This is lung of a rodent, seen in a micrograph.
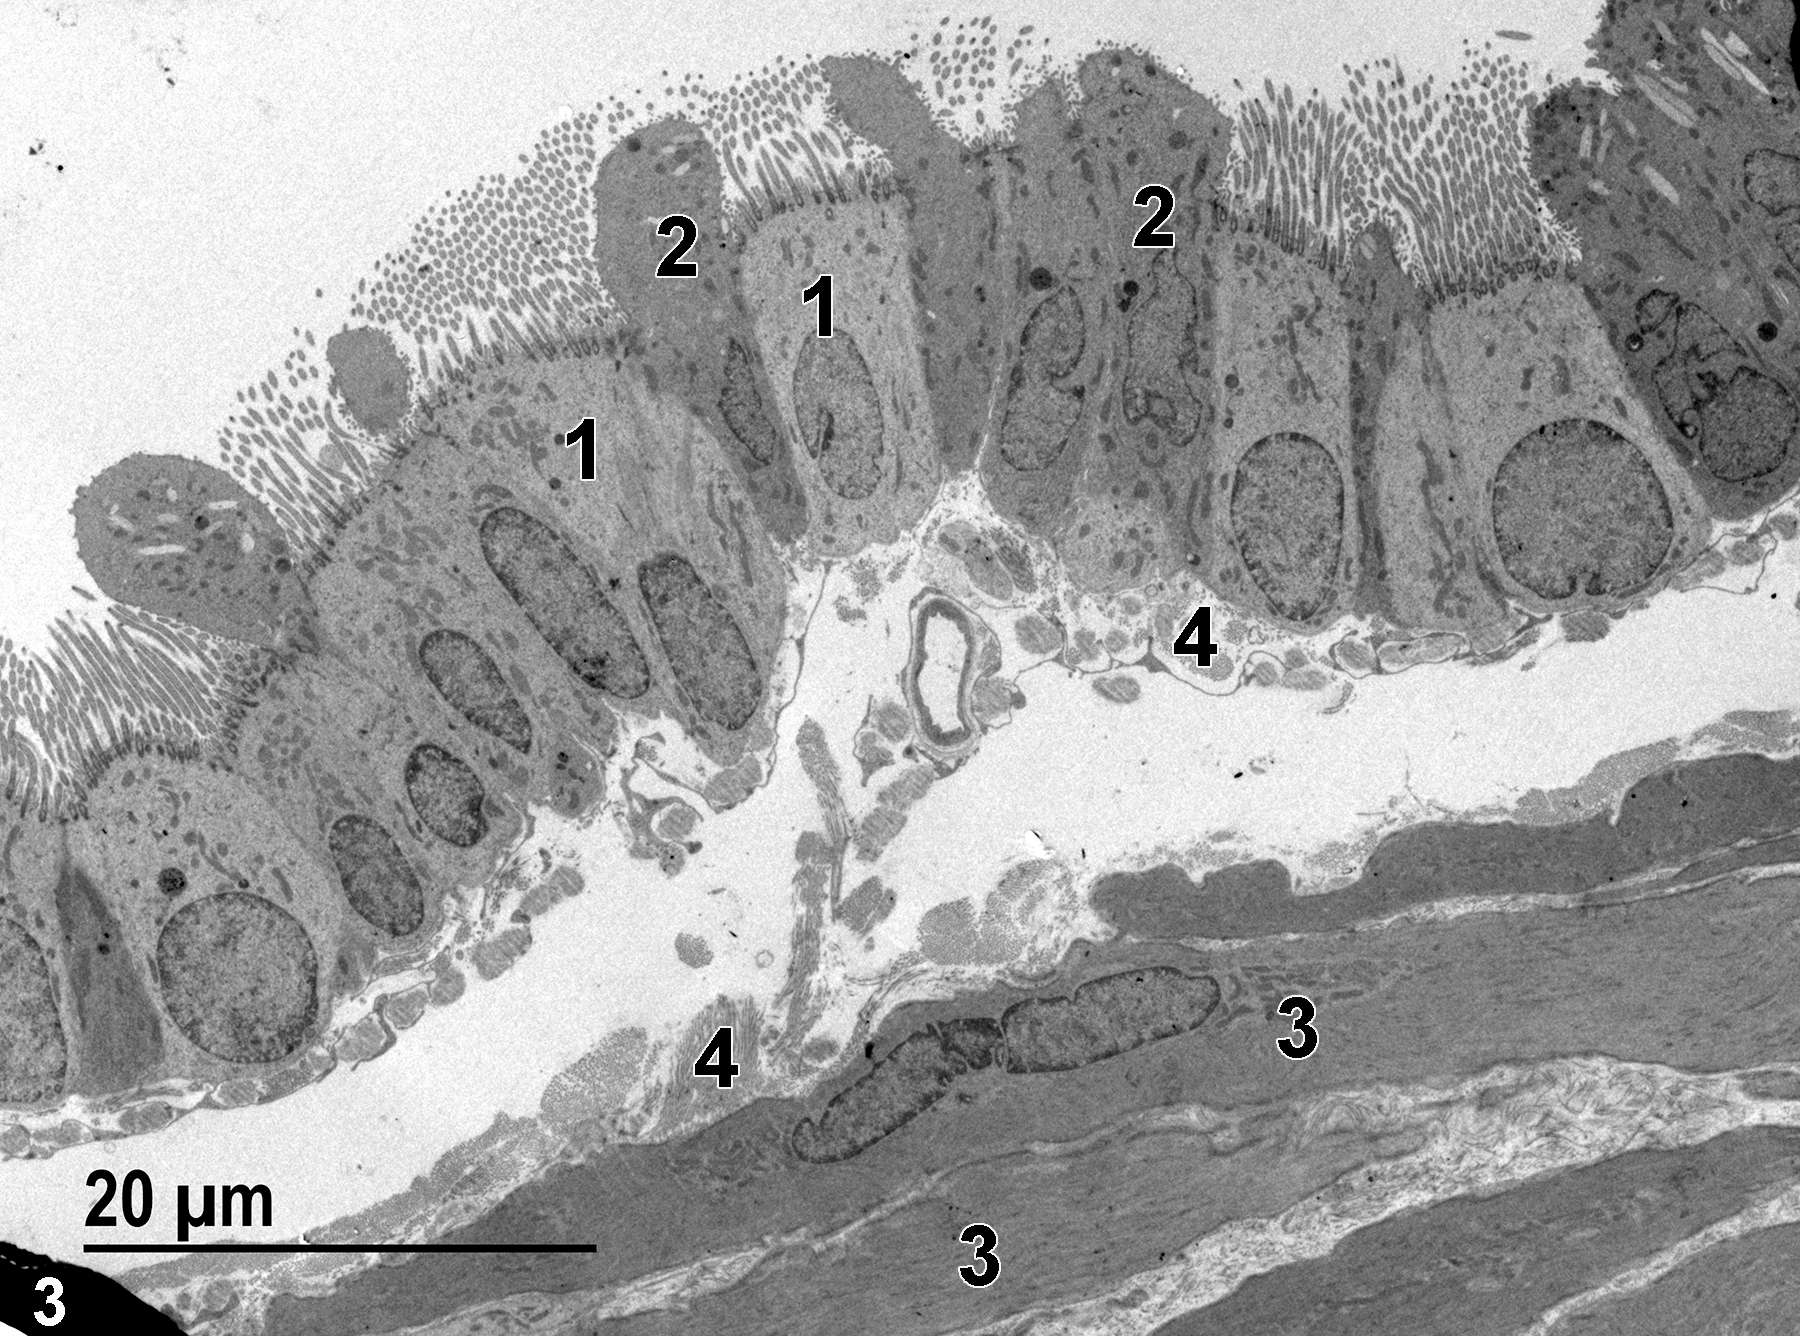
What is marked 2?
At 2: club cells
